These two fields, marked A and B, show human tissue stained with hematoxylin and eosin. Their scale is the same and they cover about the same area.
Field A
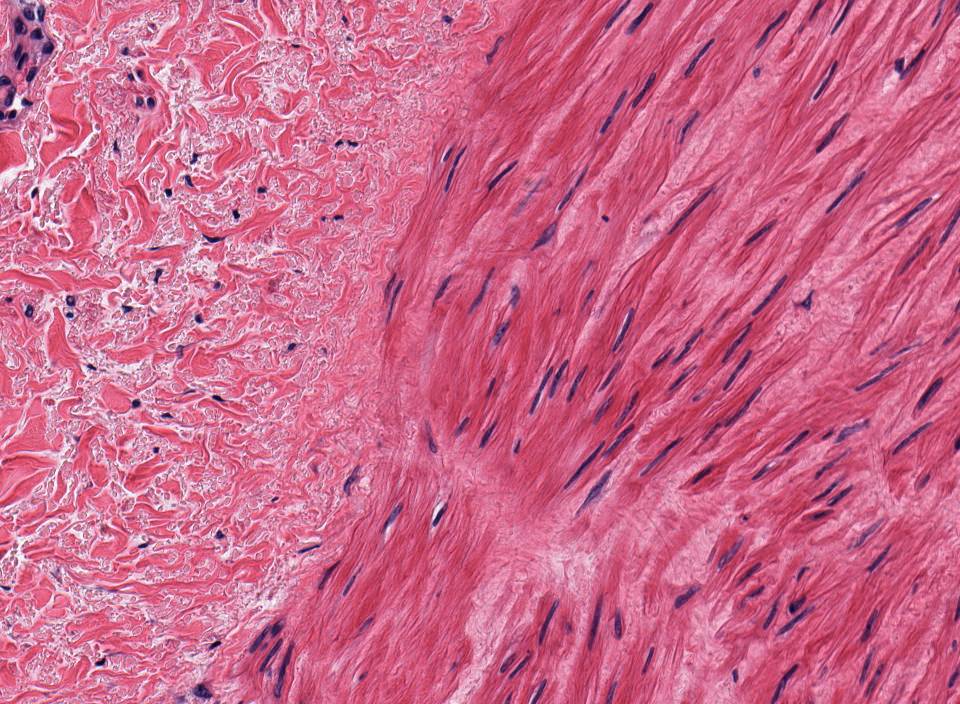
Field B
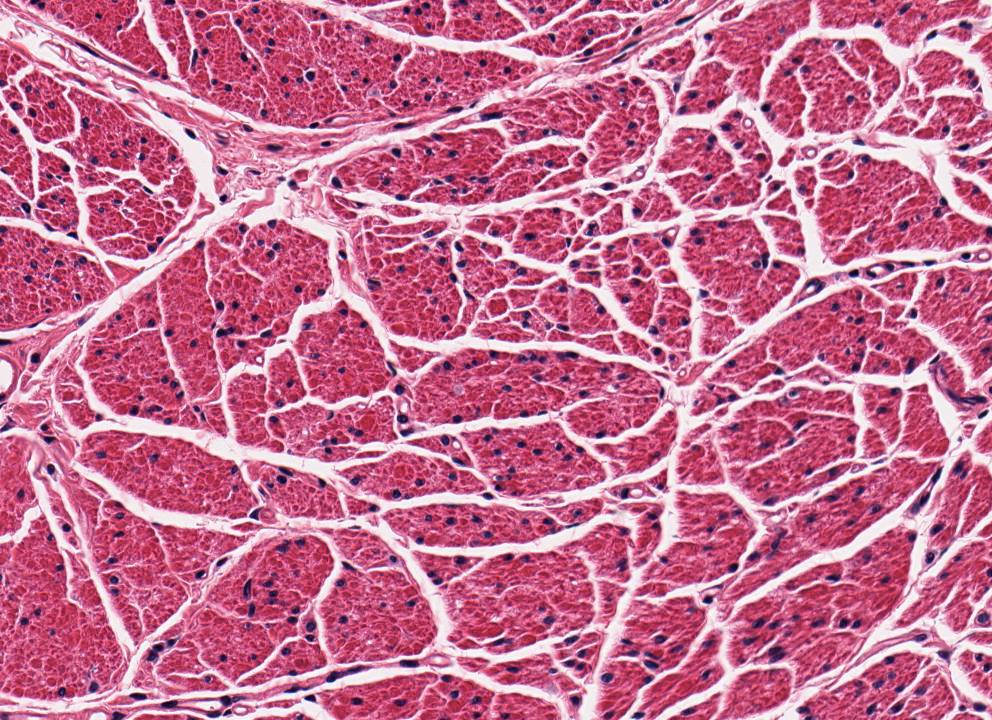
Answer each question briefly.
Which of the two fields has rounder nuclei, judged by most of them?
B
